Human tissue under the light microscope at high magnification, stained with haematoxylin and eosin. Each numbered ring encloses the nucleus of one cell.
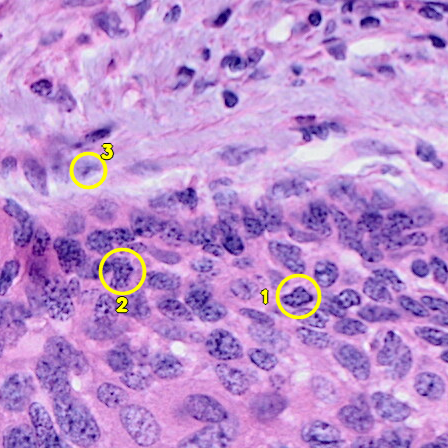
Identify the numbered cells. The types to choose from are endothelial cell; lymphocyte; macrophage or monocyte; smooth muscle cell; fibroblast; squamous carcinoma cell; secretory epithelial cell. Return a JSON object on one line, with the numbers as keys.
{"1": "squamous carcinoma cell", "2": "squamous carcinoma cell", "3": "fibroblast"}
